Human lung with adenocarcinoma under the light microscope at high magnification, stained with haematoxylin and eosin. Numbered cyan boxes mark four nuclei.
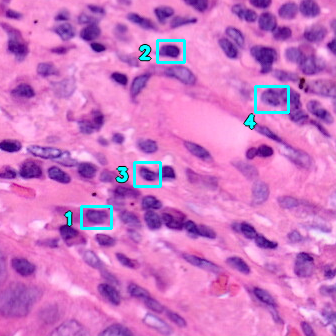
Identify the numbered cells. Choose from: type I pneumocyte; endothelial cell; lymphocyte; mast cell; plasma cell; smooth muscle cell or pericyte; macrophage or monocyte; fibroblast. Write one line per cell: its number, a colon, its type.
1: plasma cell
2: lymphocyte
3: lymphocyte
4: lymphocyte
